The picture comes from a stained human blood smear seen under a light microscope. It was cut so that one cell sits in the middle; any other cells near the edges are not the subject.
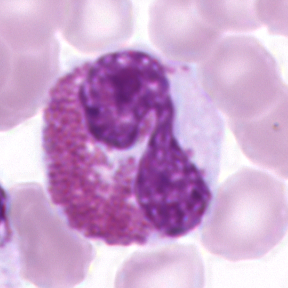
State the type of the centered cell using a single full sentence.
As for the central cell, it is an eosinophil.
